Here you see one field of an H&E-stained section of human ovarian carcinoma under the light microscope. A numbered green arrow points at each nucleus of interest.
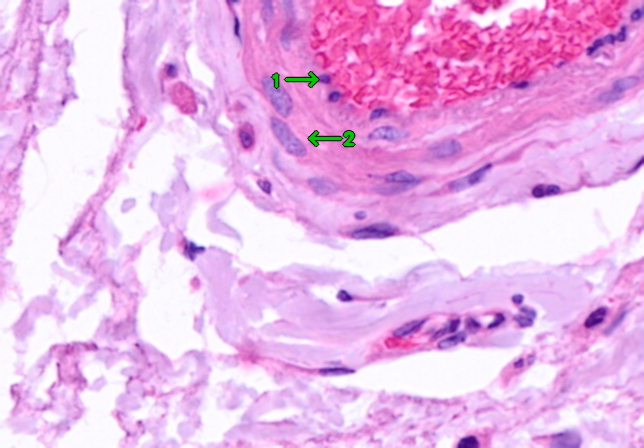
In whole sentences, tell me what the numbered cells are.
Cell 1 is an endothelial cell. Cell 2 is a smooth muscle cell.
